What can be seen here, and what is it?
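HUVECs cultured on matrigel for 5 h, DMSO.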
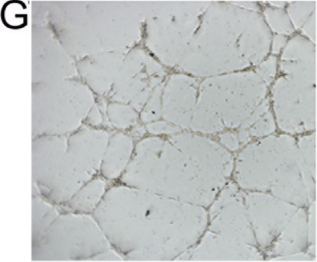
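Thin, elongated cells line up end to end into cords that branch and join one another. The cords enclose rounded open spaces of varied size, and the whole field is covered by the mesh. At the junctions, small clusters of cells gather where several cords meet.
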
